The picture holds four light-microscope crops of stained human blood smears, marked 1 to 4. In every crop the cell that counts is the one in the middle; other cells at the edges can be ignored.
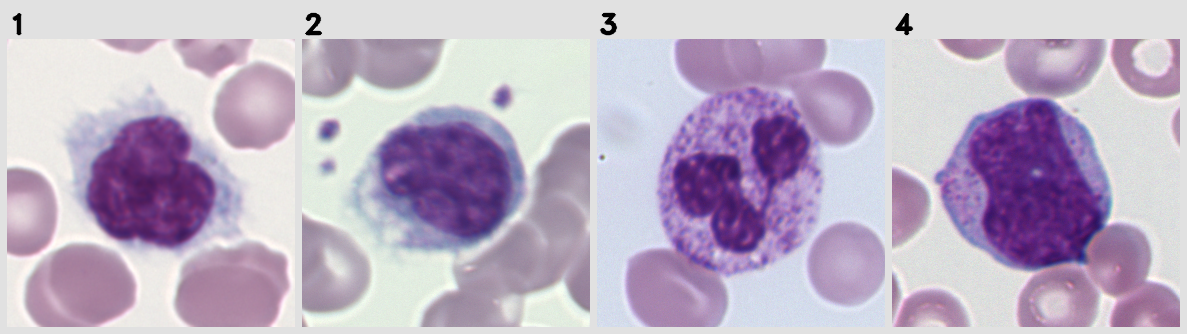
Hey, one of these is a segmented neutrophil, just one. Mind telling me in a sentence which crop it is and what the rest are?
Crop 3 displays a segmented neutrophil, whereas crop 1 is a hairy cell, crop 2 is a monocyte and crop 4 is an atypical promyelocyte.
